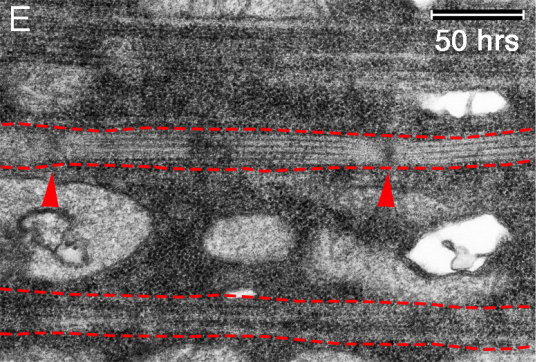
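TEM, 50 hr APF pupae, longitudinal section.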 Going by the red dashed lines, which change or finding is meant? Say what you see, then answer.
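Myofibril individualization. Pairs of dashed lines run along narrow separate bundles of longitudinal filaments.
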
